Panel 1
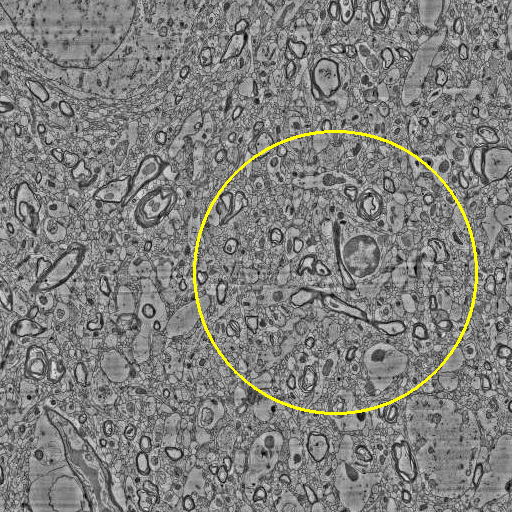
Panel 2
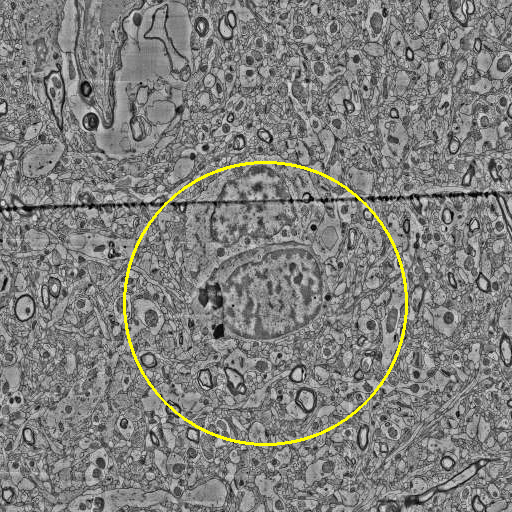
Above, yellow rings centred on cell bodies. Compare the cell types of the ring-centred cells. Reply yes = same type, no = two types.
no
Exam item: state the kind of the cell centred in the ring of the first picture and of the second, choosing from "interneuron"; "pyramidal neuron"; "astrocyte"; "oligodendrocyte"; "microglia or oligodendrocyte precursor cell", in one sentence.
The first picture shows a microglial cell or oligodendrocyte precursor cell at the ring centre and the second shows an oligodendrocyte.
